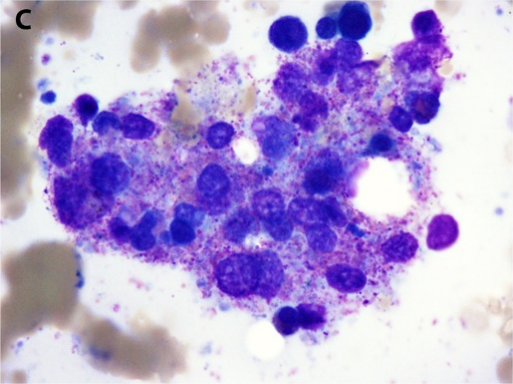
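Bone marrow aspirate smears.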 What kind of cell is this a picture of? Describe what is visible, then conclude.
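Hypogranular mast cells. A cohesive cluster of cells with round to oval nuclei. Cytoplasm contains only sparse fine purple granules.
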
